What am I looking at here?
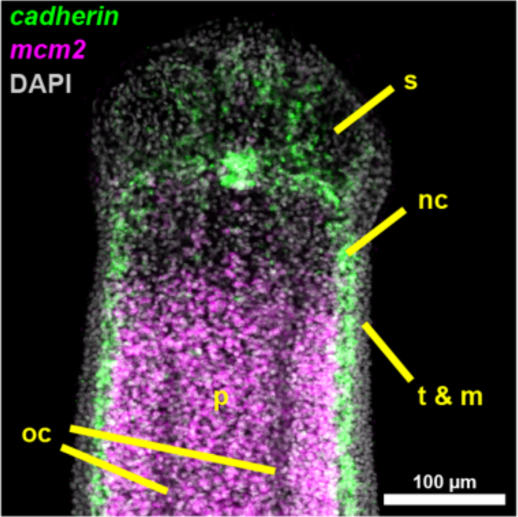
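This is the front end of a tapeworm, with the head bearing suckers at the top and the neck running down below it. Green outlines the suckers and runs as two bands down each side of the neck, near the outer tegument and muscle layer. Grey nuclei are scattered throughout the whole section.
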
